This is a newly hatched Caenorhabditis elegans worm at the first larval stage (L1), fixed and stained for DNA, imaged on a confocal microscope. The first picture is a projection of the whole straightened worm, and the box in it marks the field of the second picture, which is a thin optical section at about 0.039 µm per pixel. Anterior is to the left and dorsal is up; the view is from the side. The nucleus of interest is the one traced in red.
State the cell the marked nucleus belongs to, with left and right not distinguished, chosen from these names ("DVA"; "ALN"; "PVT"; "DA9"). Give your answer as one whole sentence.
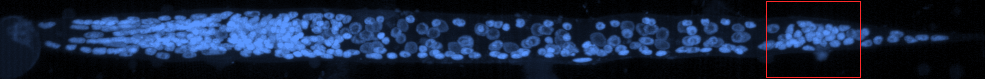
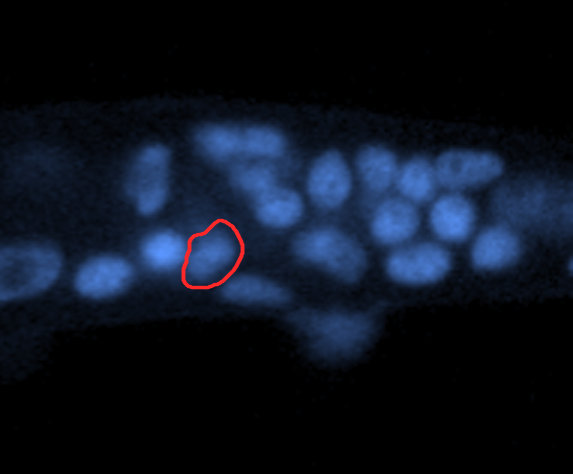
It belongs to DA9, a neuron.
